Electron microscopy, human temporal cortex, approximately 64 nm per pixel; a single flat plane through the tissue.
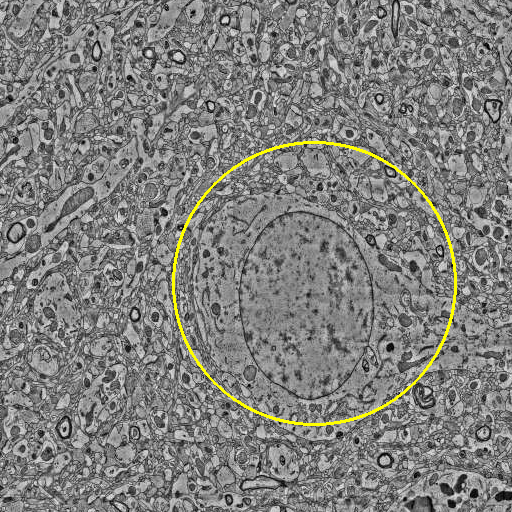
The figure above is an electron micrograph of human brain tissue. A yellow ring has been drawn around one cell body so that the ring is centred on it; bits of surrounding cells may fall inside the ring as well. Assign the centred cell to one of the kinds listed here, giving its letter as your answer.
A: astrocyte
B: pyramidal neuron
B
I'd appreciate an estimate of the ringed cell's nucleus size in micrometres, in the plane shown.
The ringed cell's nucleus measures approximately 12 by 9 micrometres in this plane.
